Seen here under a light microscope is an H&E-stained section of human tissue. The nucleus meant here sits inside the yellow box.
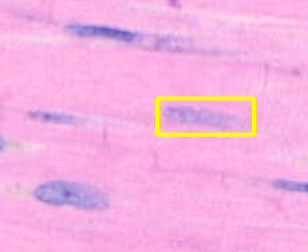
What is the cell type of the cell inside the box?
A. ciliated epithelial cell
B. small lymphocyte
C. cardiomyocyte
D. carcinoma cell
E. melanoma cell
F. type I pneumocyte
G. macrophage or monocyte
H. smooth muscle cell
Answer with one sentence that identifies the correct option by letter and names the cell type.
In this section the cell inside the box is a cardiomyocyte; option C is therefore correct.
